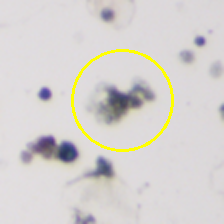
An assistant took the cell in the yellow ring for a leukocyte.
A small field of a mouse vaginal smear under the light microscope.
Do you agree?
I disagree, it is a cornified epithelial cell.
